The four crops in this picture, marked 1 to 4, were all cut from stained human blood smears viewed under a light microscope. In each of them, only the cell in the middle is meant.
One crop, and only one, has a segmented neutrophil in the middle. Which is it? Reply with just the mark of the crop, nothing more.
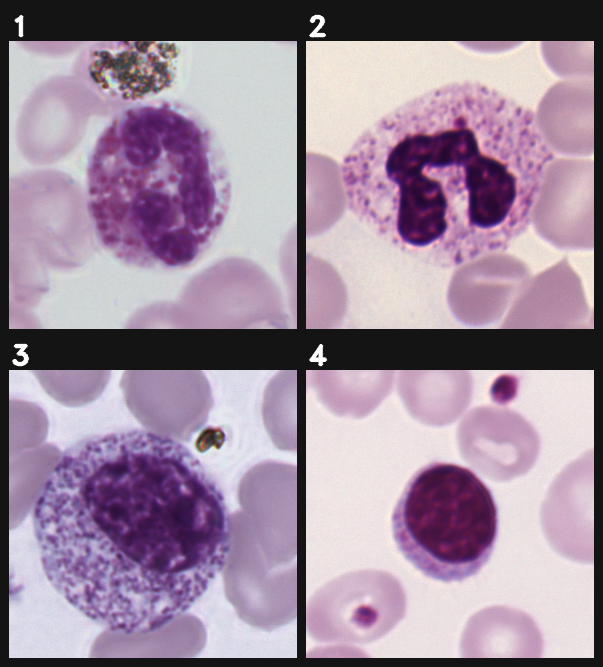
2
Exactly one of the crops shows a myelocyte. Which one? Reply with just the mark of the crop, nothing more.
3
